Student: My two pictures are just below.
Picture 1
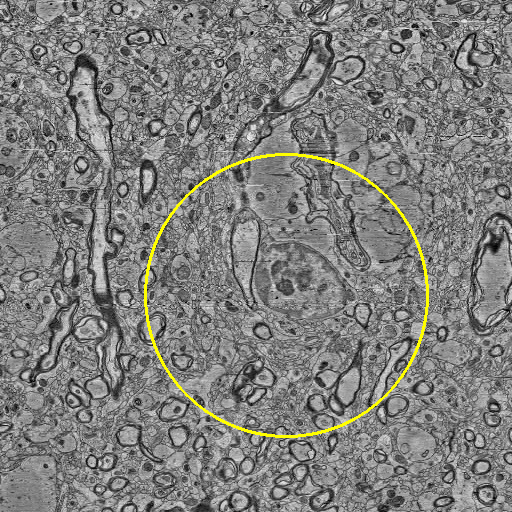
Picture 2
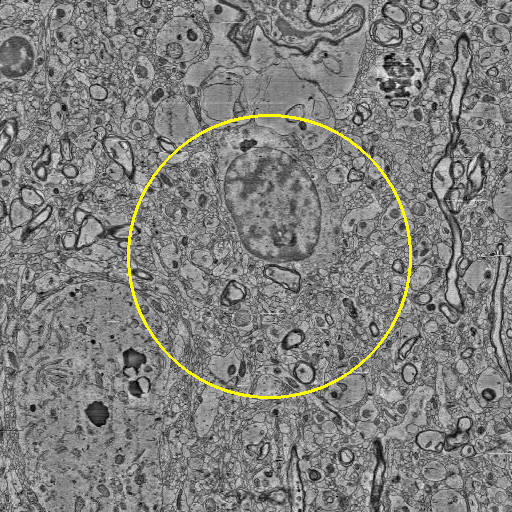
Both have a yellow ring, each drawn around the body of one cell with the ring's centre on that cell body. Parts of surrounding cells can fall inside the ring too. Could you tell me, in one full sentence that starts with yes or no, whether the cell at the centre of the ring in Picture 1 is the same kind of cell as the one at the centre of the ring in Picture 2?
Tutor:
Yes, the two cells are of the same kind.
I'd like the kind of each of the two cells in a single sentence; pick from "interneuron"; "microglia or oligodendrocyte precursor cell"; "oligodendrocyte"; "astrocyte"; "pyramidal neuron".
In the first picture and in the second, the ring is centred on an oligodendrocyte.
